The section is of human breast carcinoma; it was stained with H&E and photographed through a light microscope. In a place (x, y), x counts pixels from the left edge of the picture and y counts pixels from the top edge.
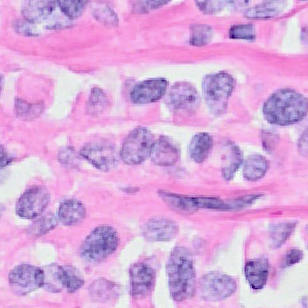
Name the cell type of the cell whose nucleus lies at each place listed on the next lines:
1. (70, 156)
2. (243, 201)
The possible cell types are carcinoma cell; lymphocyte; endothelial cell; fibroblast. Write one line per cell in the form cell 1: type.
cell 1: carcinoma cell
cell 2: endothelial cell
